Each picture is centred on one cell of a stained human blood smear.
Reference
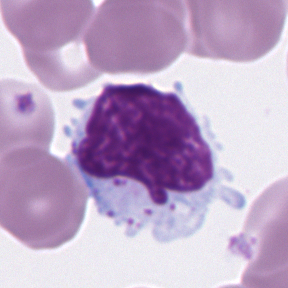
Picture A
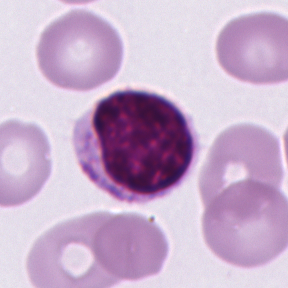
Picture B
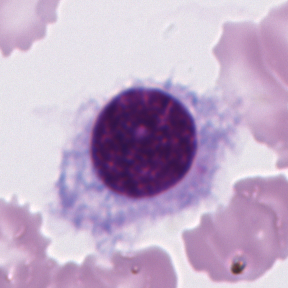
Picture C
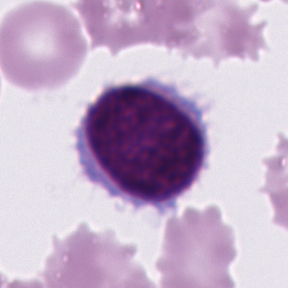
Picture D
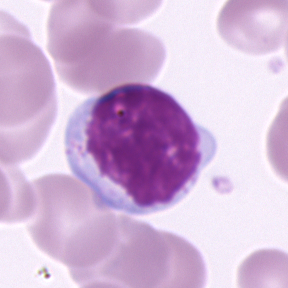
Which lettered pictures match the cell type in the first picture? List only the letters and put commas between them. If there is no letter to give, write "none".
A, D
